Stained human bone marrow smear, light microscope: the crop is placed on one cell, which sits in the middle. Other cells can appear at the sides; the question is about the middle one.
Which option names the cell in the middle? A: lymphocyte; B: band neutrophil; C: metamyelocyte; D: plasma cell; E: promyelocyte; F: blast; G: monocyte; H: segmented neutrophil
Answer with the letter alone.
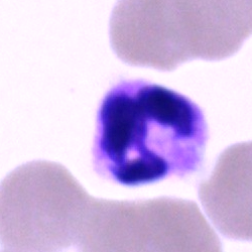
H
